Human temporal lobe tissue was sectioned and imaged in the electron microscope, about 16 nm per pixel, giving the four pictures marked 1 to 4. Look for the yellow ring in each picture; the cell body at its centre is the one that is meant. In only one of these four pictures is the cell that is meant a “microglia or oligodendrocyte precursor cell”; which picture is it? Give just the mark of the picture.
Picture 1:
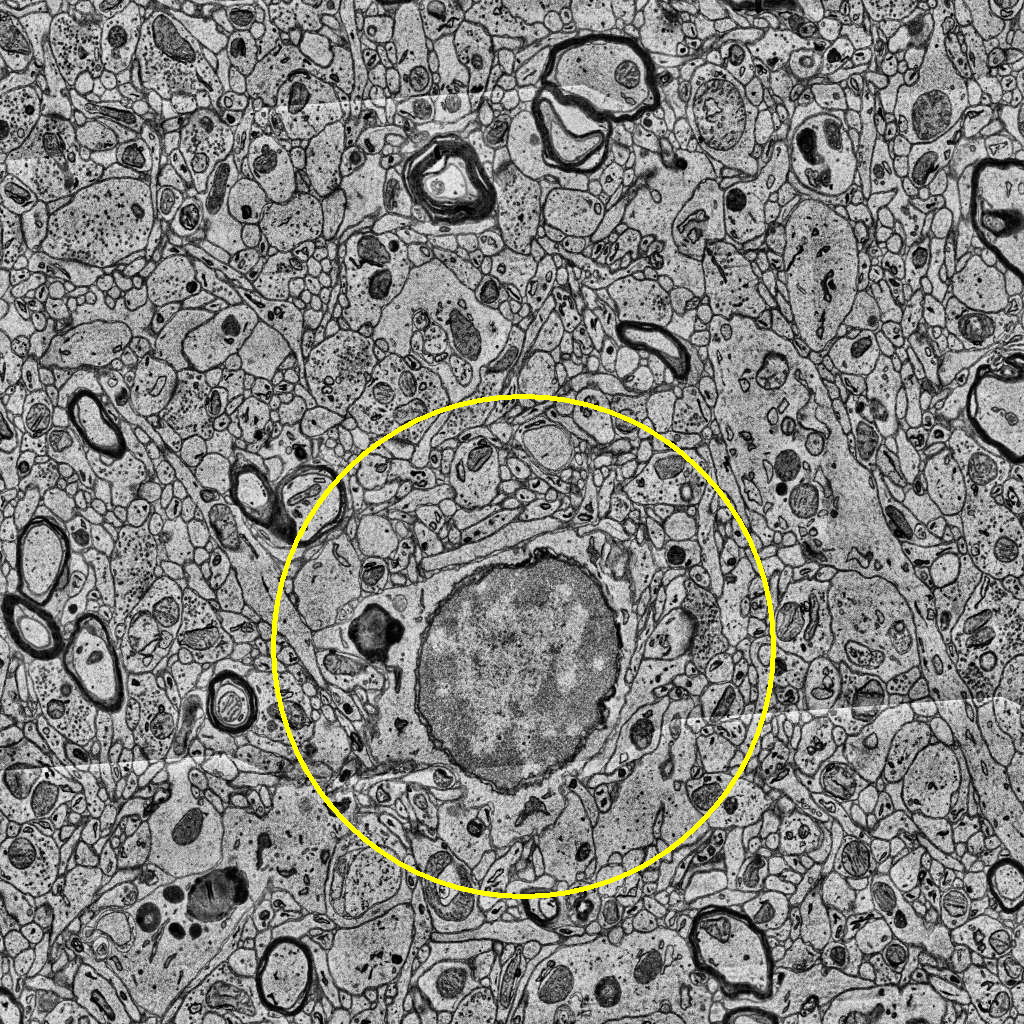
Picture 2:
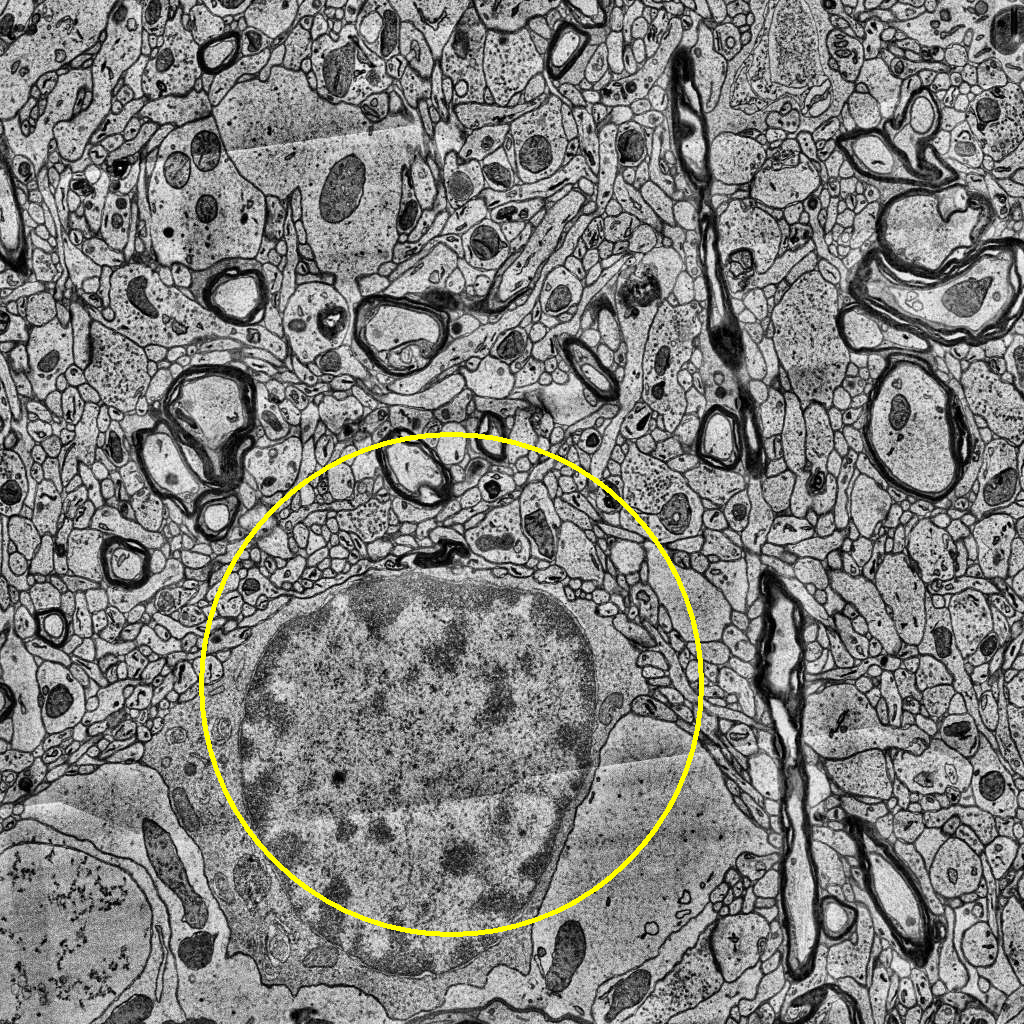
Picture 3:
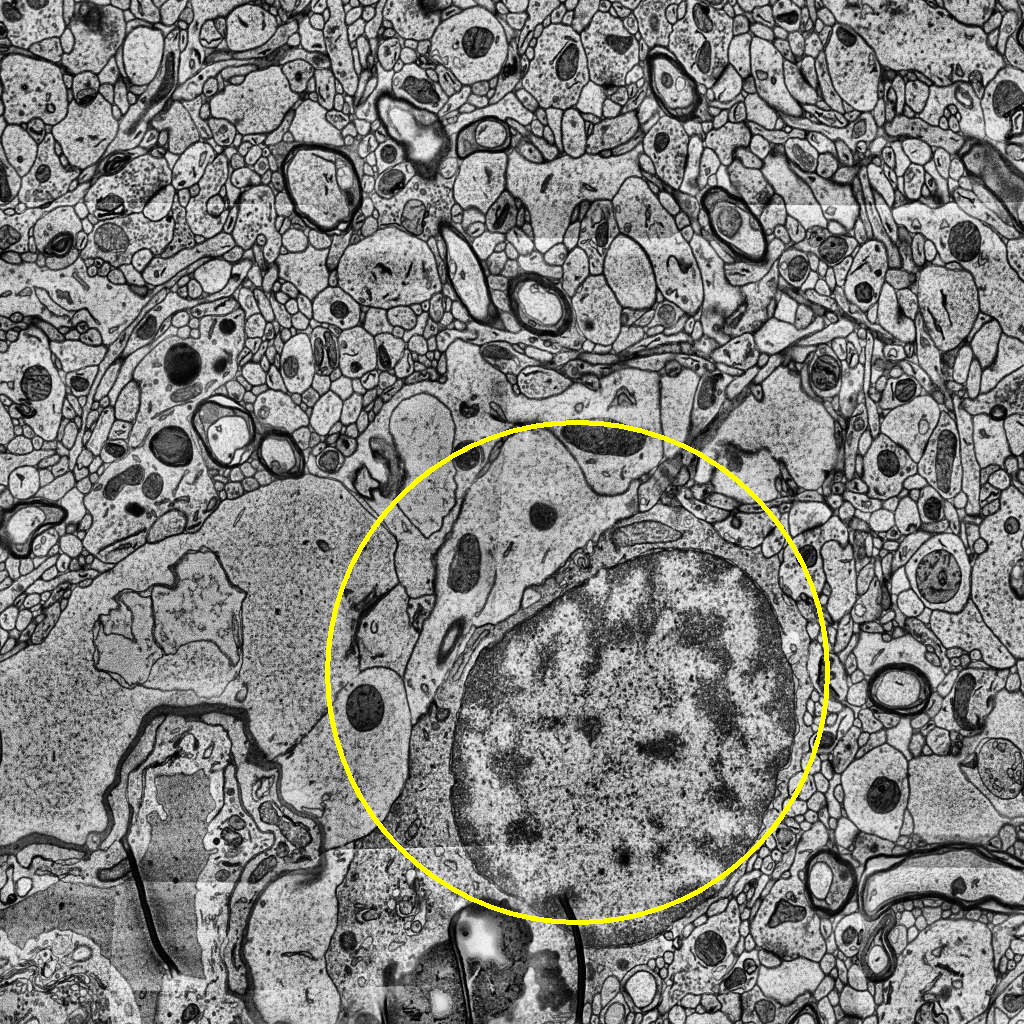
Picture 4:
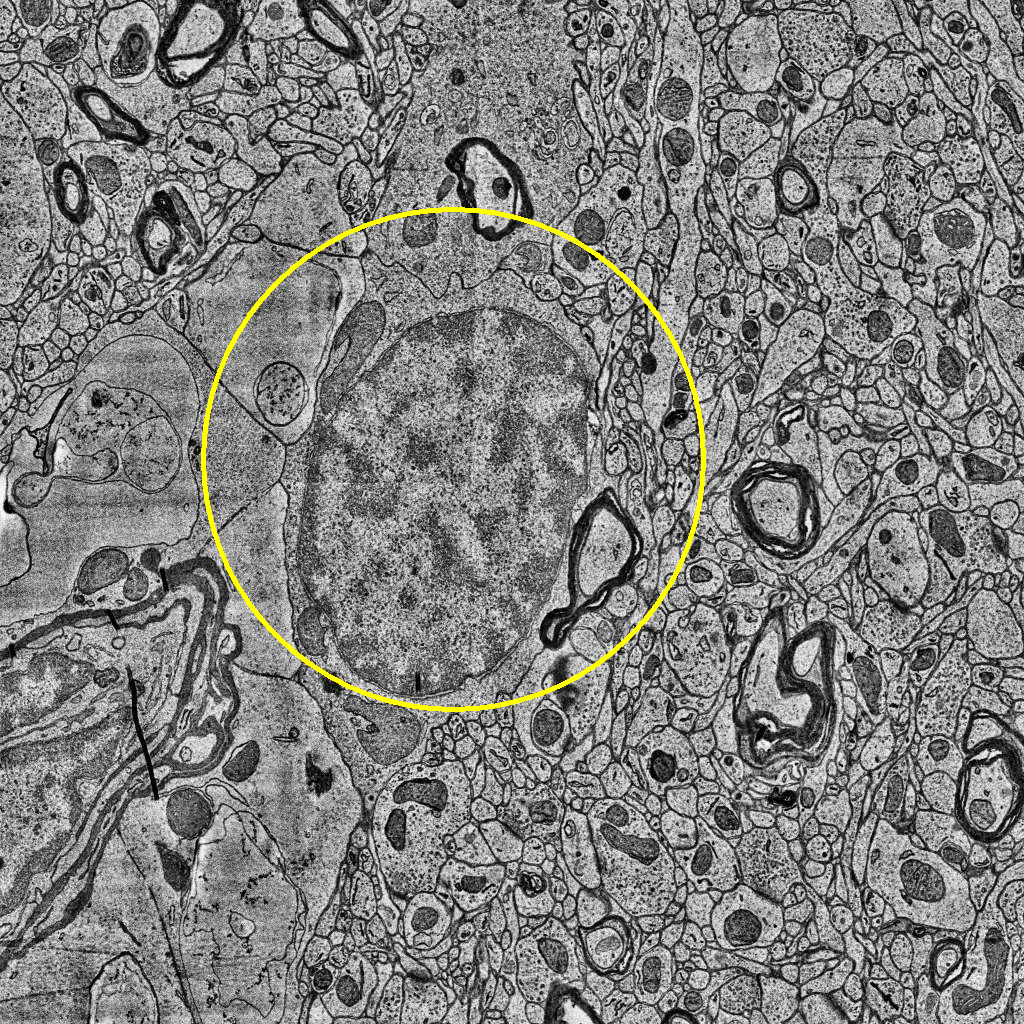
1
